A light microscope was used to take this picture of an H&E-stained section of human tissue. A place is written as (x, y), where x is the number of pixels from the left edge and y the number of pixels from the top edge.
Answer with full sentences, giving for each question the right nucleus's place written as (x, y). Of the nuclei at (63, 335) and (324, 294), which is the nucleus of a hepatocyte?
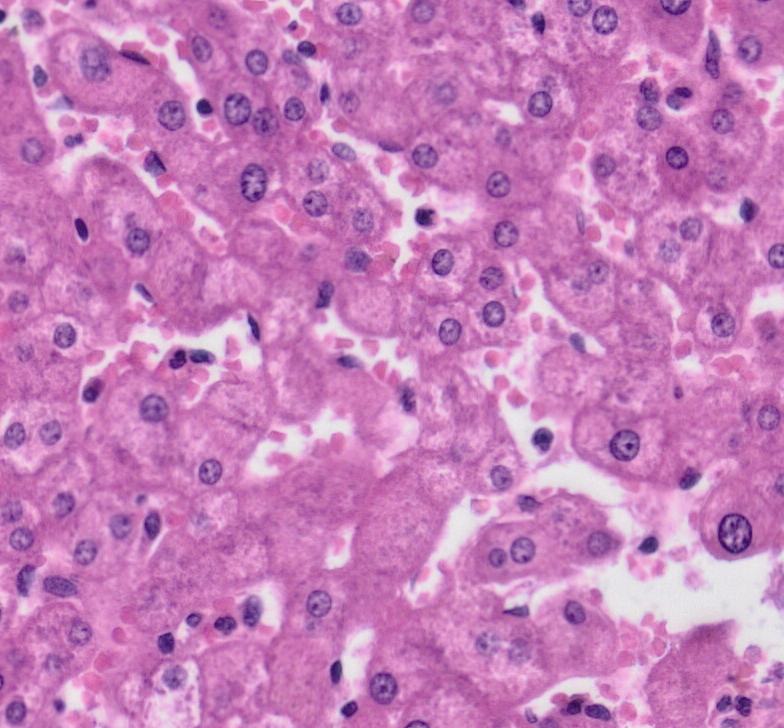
The nucleus positioned at (63, 335) forms part of a hepatocyte.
